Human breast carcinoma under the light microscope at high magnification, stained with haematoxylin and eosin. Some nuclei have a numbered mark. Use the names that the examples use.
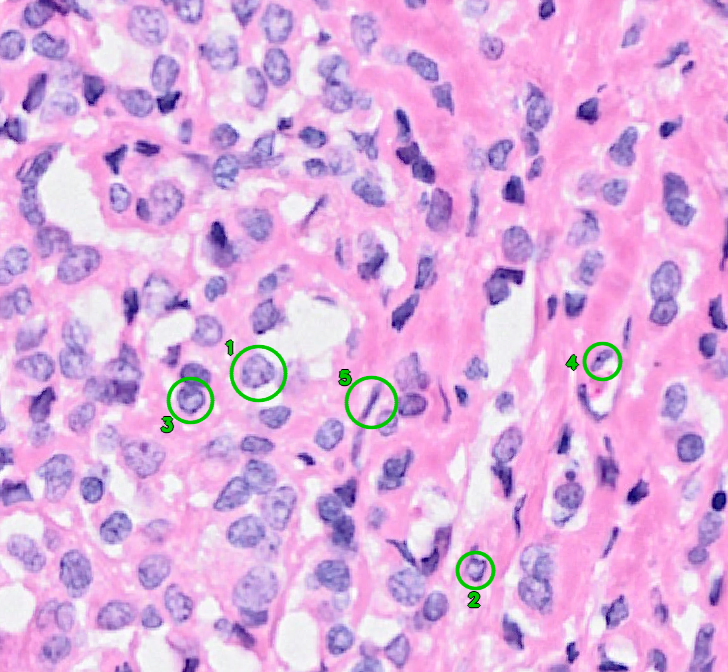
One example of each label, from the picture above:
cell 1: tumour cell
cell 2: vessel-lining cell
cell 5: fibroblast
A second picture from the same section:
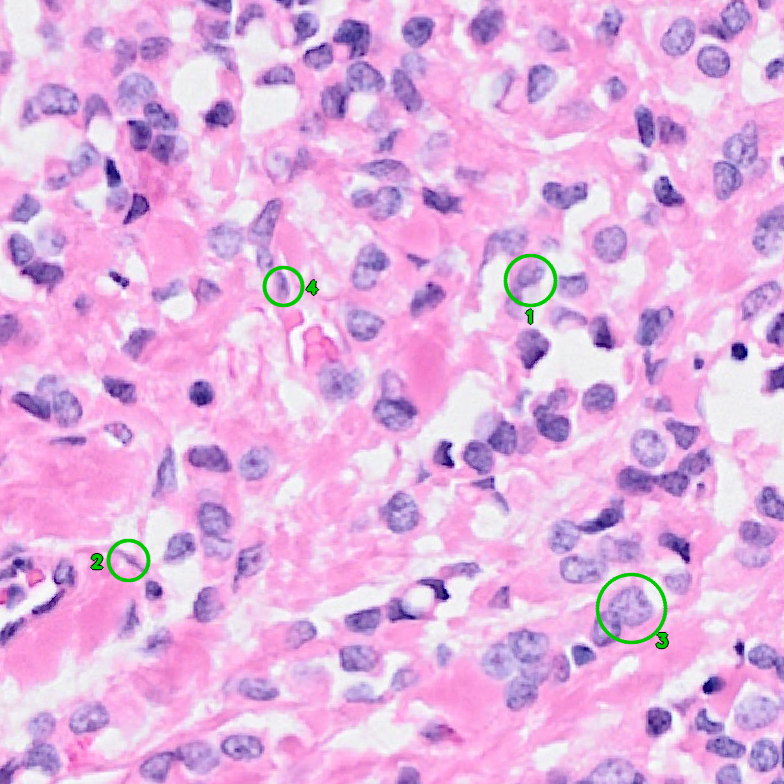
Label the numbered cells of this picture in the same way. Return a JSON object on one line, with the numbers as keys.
{"1": "tumour cell", "2": "fibroblast", "3": "tumour cell", "4": "vessel-lining cell"}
